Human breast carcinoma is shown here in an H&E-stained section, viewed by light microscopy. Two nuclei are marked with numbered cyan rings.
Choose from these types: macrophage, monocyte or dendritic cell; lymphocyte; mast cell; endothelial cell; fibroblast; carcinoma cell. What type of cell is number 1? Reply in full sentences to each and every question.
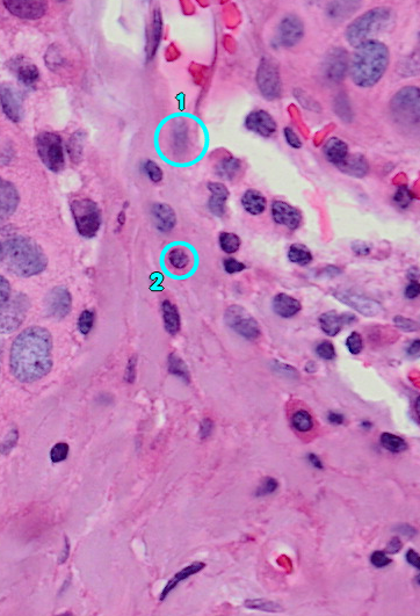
The numeral 1 marks an endothelial cell in this section.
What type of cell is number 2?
The marked nucleus 2 is that of a mast cell.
